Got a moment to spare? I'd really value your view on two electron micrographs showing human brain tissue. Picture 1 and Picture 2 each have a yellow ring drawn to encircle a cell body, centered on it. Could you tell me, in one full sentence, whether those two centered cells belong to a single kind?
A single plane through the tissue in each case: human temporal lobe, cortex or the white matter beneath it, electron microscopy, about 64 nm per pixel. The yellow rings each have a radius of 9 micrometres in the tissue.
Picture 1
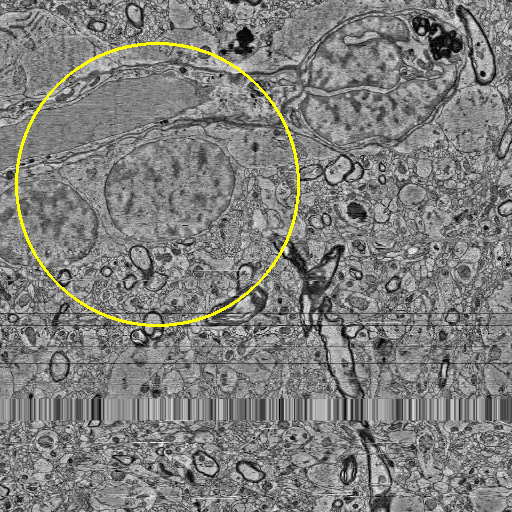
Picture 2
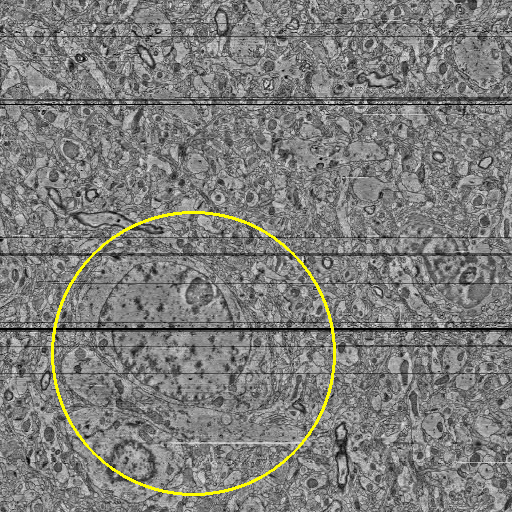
No, the two centered cells in Picture 1 and Picture 2 are of two kinds.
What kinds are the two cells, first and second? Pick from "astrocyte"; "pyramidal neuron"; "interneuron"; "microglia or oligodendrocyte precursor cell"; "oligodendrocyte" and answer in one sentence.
The second picture holds a pyramidal neuron in its ring, and the first holds an oligodendrocyte.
